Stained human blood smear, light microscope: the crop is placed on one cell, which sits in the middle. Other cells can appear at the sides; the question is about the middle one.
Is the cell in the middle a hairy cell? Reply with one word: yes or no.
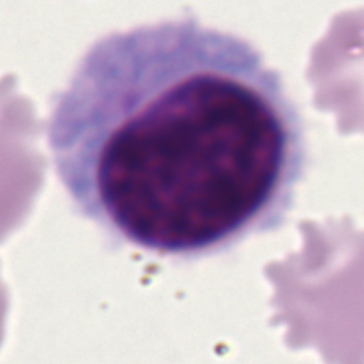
yes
